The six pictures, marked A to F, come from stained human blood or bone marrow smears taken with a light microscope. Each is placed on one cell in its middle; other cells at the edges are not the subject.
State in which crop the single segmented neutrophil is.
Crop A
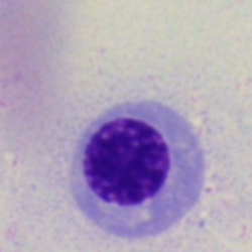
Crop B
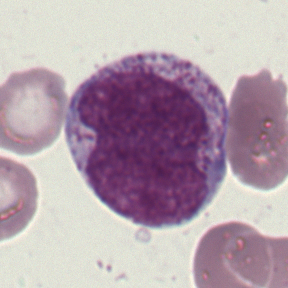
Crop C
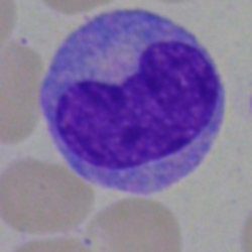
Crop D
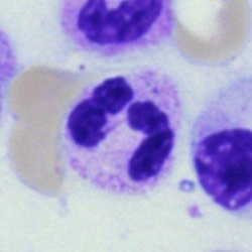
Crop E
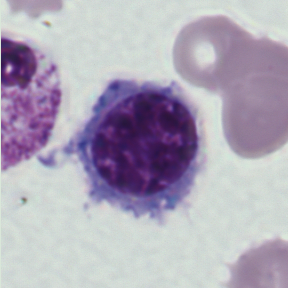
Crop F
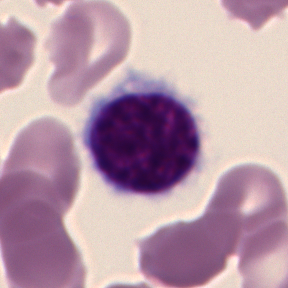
D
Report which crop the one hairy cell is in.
F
